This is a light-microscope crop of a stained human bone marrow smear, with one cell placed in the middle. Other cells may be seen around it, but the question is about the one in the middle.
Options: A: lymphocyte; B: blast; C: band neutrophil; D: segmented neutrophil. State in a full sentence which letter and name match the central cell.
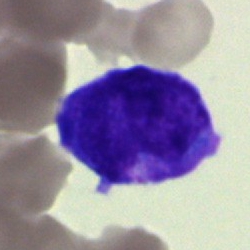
The centrally positioned cell is a blast, consistent with option B, which is correct.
